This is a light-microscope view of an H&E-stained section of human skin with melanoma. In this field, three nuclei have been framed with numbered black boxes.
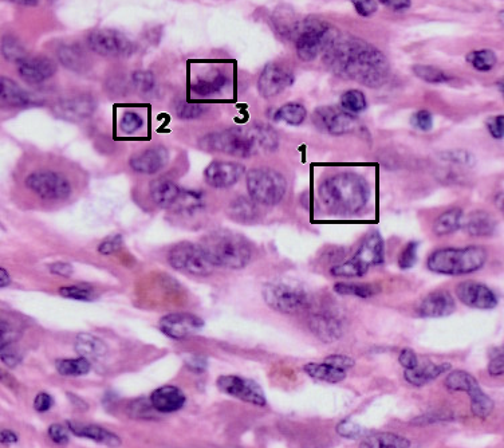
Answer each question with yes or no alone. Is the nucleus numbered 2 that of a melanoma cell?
no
